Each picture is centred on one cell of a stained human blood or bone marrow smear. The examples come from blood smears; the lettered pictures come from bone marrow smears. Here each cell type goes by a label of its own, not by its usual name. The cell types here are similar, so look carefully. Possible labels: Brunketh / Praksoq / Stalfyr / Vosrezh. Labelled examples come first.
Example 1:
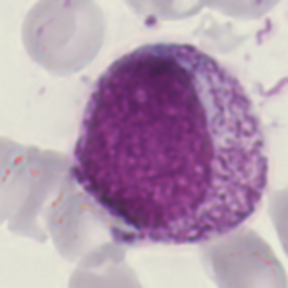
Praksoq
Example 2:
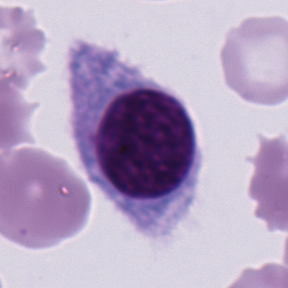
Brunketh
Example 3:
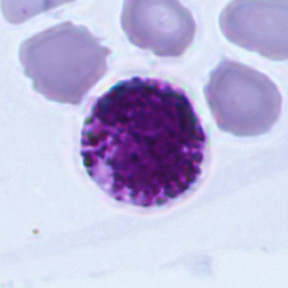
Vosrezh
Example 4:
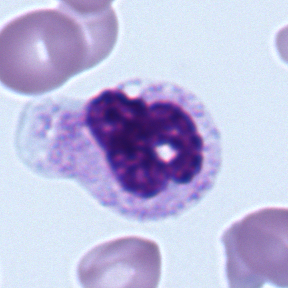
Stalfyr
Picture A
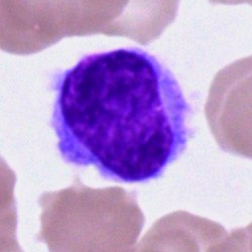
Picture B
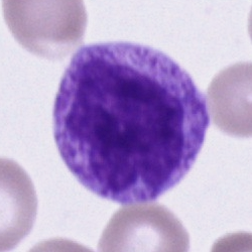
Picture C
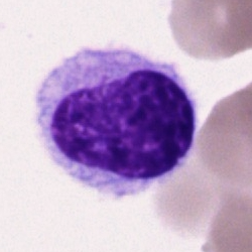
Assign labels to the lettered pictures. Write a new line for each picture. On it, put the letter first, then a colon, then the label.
A: Brunketh
B: Praksoq
C: Brunketh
